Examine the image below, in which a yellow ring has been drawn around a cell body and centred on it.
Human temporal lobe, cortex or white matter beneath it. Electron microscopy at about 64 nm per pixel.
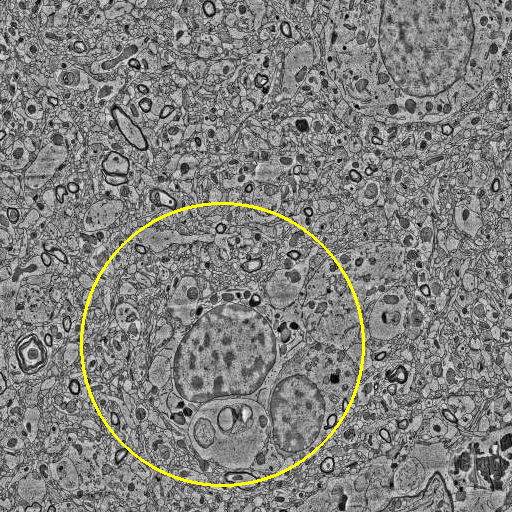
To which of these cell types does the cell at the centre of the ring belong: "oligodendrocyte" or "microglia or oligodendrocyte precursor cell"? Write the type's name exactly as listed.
microglia or oligodendrocyte precursor cell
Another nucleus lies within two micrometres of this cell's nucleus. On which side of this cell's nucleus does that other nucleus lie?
The other nucleus is found to the lower right of it.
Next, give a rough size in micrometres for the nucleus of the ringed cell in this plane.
In this plane, approximately 8 by 6 micrometers.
